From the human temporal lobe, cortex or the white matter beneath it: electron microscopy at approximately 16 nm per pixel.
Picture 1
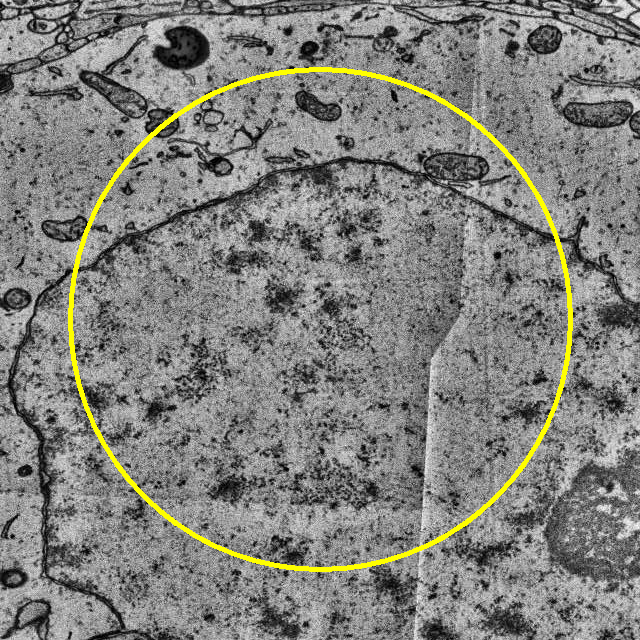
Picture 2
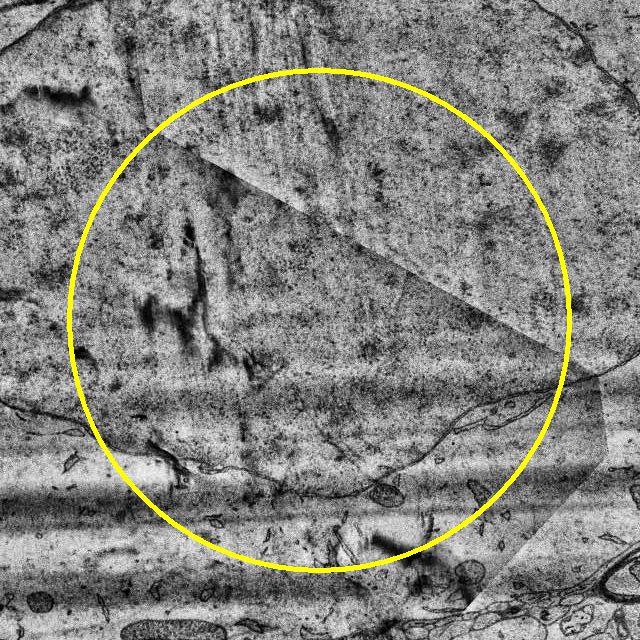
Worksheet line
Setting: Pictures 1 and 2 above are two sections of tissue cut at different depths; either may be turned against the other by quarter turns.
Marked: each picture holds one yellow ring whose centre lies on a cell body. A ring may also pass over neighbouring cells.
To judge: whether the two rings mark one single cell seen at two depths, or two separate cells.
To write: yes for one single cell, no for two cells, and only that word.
yes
